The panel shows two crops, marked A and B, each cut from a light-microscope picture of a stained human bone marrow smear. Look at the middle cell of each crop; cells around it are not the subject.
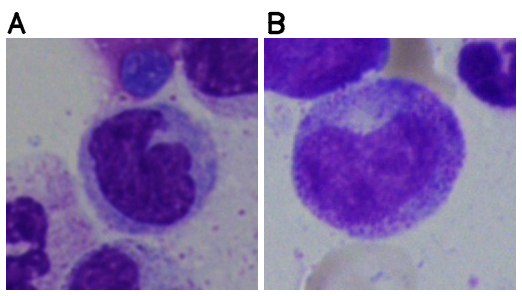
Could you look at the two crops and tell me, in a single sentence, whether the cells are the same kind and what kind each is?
No, enter a monocyte for crop A and a myelocyte for crop B.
